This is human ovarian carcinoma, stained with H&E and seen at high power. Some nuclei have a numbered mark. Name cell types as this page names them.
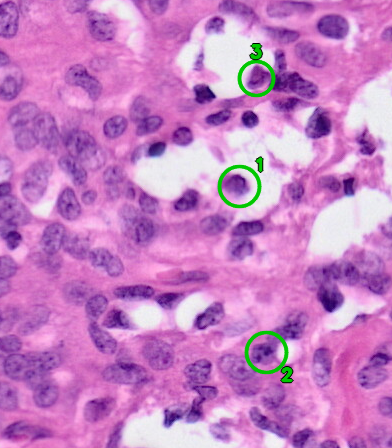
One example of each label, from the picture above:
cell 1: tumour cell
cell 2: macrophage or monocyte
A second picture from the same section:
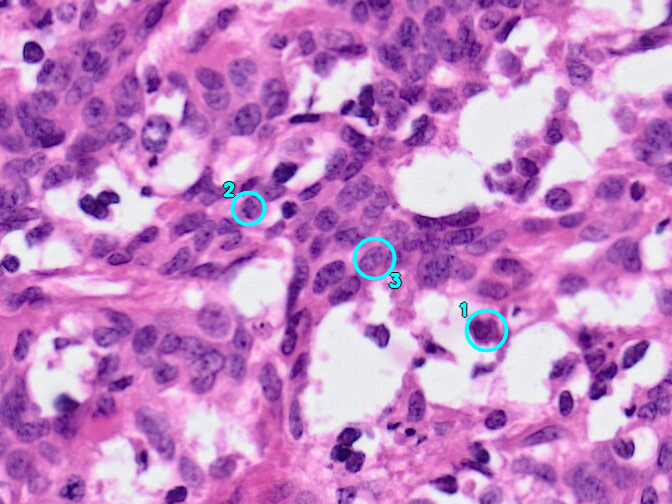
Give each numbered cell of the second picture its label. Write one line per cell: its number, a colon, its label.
1: tumour cell
2: macrophage or monocyte
3: tumour cell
